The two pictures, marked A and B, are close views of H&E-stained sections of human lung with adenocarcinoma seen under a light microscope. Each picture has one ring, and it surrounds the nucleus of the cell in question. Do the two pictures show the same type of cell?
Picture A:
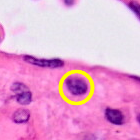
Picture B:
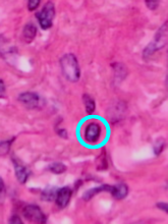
yes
